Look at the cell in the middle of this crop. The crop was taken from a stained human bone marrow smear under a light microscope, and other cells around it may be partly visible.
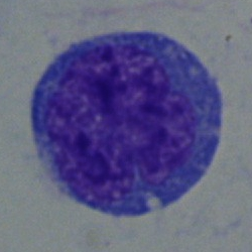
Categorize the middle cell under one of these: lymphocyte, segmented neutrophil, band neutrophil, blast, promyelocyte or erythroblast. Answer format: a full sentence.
This crop has a blast at its centre.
